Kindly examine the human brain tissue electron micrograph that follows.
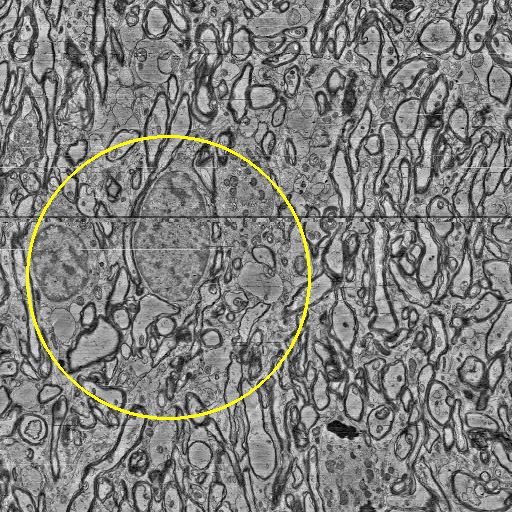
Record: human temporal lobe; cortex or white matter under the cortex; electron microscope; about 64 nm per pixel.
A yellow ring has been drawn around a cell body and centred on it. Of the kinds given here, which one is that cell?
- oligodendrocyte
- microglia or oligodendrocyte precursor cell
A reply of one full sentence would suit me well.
The micrograph's ringed cell, the one at the ring's centre, is an oligodendrocyte.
